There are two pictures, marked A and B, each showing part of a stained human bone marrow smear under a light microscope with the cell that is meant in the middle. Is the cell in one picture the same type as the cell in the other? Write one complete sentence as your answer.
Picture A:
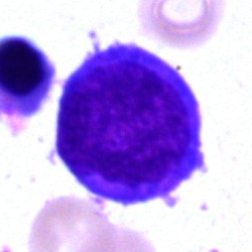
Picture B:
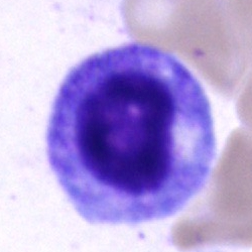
No, the types are not the same, since picture A shows a blast and picture B a promyelocyte.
